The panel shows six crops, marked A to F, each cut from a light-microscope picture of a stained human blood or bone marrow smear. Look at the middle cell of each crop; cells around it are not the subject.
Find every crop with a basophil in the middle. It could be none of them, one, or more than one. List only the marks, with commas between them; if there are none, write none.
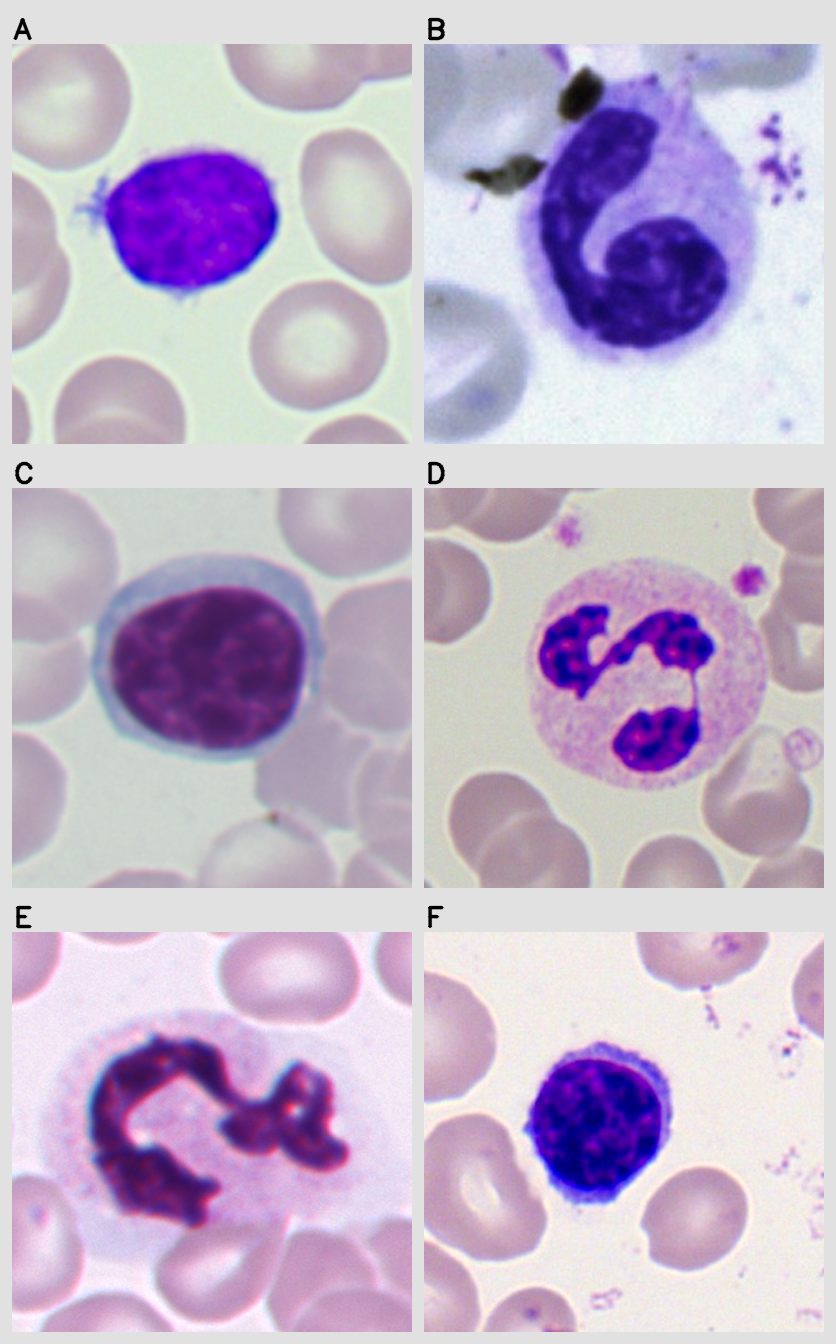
none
